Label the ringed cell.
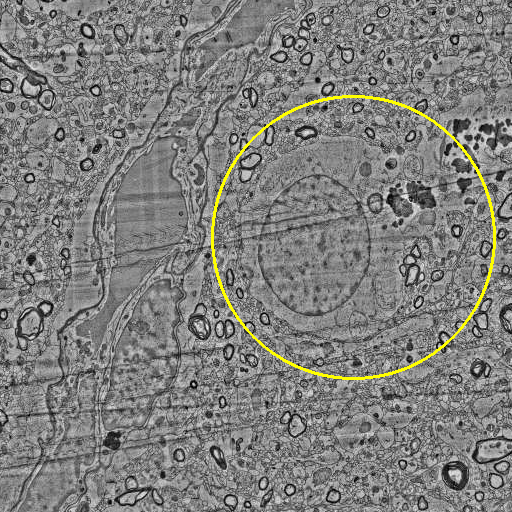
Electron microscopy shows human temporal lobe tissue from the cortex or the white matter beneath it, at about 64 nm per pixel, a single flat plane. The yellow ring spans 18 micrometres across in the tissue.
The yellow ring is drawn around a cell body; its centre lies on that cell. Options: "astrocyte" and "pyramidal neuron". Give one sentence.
The ringed cell is an astrocyte.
